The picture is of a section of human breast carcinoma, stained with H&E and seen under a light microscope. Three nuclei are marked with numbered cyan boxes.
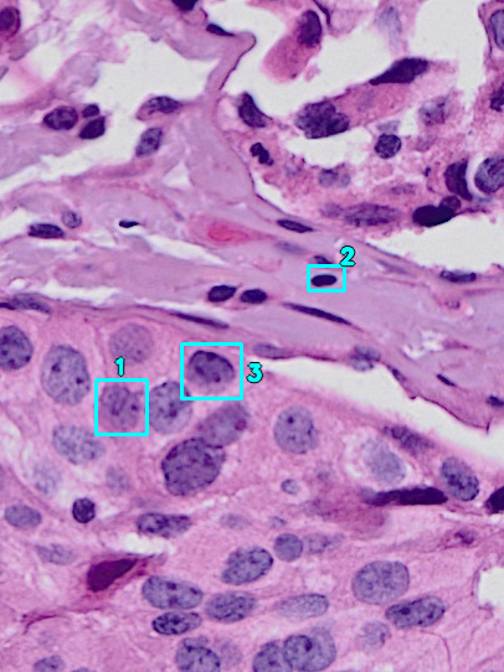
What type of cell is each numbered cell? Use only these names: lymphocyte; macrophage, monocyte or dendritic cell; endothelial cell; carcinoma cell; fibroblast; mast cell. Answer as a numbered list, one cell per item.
1. carcinoma cell
2. lymphocyte
3. carcinoma cell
